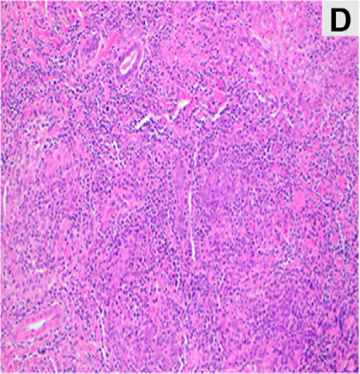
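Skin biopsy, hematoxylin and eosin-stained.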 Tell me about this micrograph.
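Dermis diffusely filled by a dense infiltrate of small lymphocytes with round, dark-staining nuclei and little cytoplasm. Small blood vessels and strands of pink collagen are scattered among the tightly packed cells.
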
